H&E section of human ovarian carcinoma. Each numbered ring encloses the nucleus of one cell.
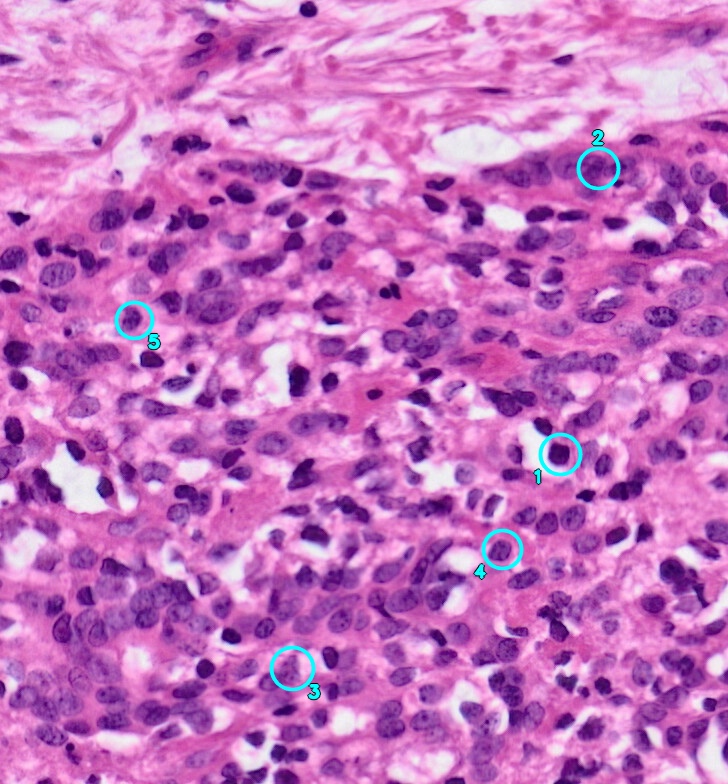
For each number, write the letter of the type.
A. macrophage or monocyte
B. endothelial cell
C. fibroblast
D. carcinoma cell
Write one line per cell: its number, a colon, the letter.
1: D
2: D
3: D
4: A
5: A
